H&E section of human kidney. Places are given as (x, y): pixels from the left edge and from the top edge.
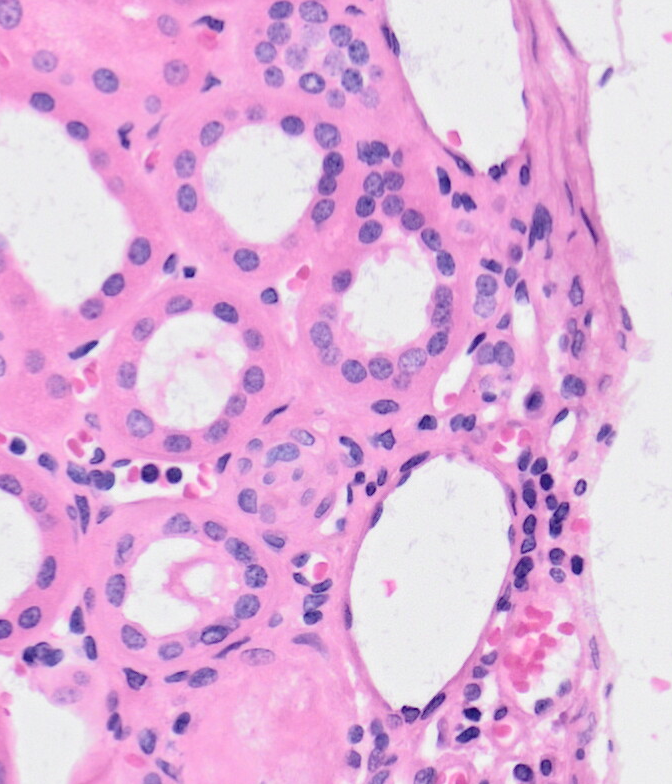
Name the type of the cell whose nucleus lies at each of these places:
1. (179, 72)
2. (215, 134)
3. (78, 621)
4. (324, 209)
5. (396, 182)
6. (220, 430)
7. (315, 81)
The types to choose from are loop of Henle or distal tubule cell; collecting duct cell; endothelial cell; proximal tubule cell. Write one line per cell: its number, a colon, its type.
1: proximal tubule cell
2: loop of Henle or distal tubule cell
3: endothelial cell
4: collecting duct cell
5: collecting duct cell
6: loop of Henle or distal tubule cell
7: collecting duct cell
